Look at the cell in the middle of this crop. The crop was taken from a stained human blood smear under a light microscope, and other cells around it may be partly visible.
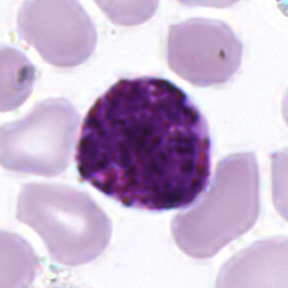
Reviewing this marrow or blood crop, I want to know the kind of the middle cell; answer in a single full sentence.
Present in the middle of the crop is a basophil.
